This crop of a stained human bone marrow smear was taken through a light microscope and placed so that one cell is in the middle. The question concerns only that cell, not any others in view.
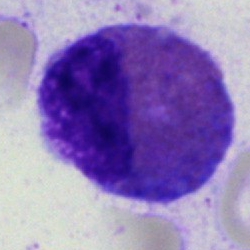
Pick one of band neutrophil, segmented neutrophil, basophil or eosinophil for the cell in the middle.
eosinophil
